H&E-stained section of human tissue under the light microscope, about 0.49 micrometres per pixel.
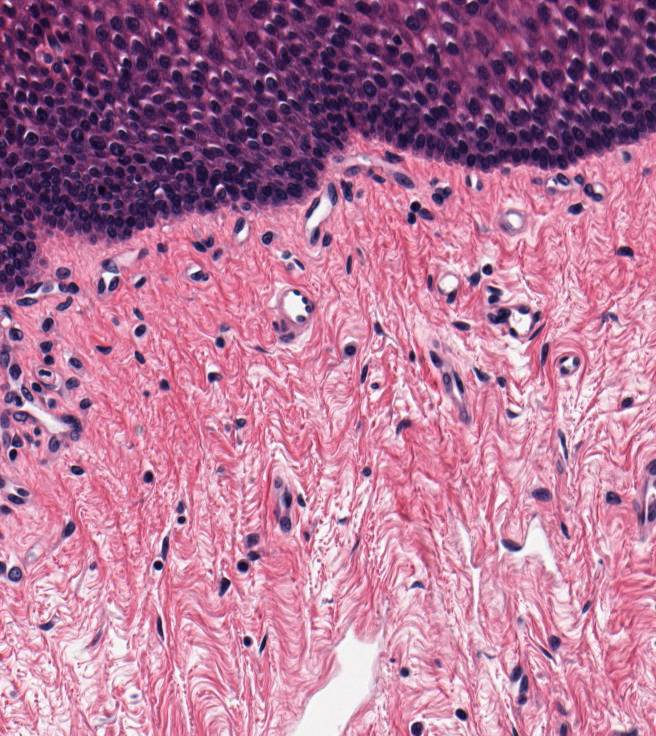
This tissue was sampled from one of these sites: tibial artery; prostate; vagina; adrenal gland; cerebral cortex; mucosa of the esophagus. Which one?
mucosa of the esophagus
